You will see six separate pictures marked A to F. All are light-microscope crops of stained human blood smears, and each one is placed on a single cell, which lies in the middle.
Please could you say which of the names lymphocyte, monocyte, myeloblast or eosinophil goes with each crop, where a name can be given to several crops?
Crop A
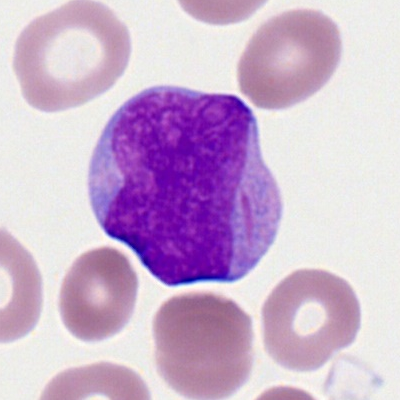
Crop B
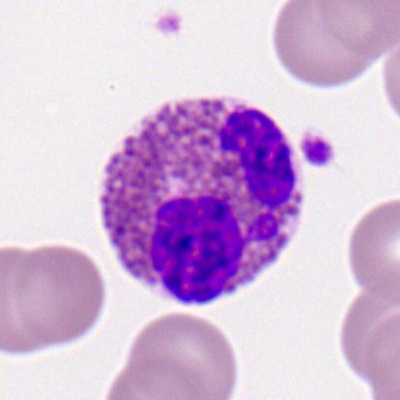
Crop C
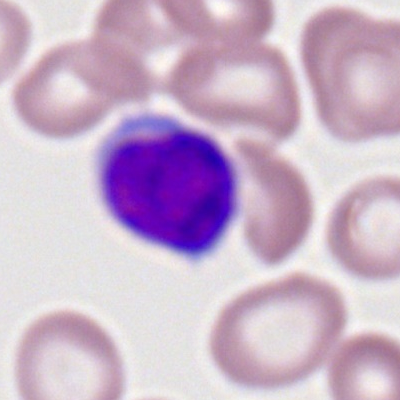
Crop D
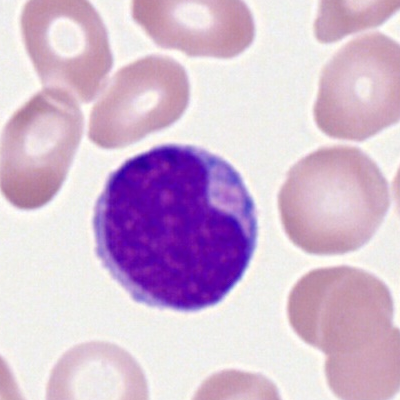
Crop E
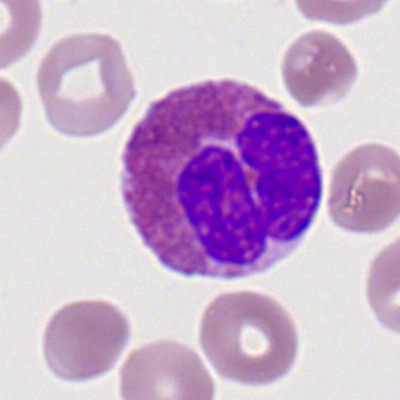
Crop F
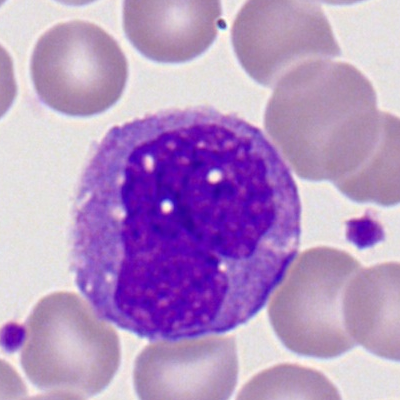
A: myeloblast
B: eosinophil
C: lymphocyte
D: myeloblast
E: eosinophil
F: monocyte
